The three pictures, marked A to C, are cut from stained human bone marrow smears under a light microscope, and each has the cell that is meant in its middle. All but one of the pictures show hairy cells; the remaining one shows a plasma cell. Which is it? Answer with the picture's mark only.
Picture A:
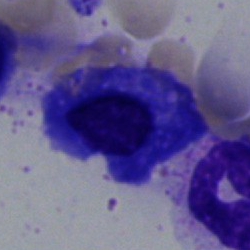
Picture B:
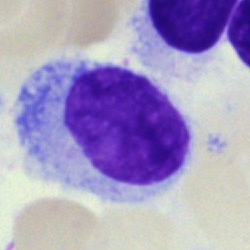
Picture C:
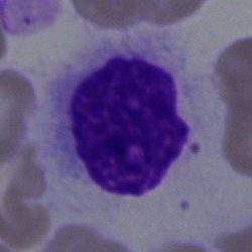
A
